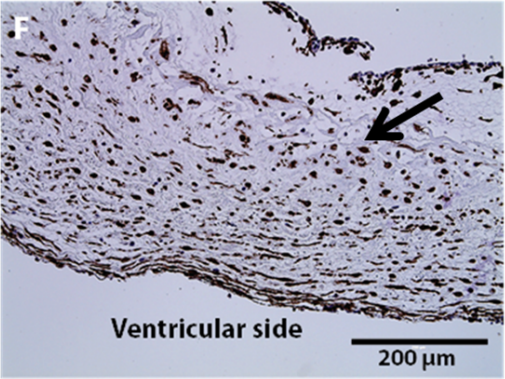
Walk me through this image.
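A section through a valve cusp is densely populated throughout its interior by brown-stained cells, round to oval and spindle-shaped, set in a pale fibrillar matrix. Along the lower edge, elongated flattened brown cells are packed in several wavy parallel bands. Towards the upper right, a thin strip of tissue lifts away from the main mass, and the cells there are also brown. The cells are distributed widely through the depth of the tissue rather than confined to its surfaces.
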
